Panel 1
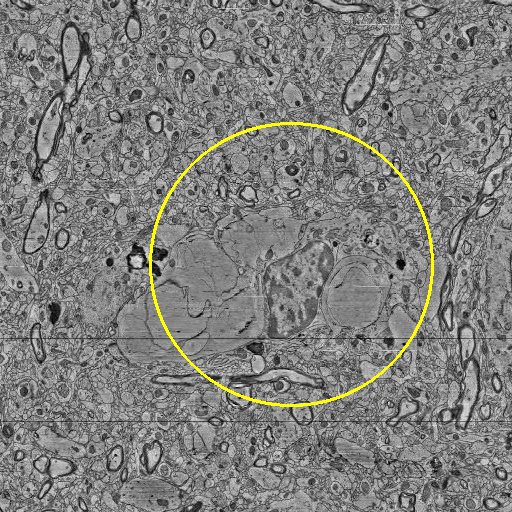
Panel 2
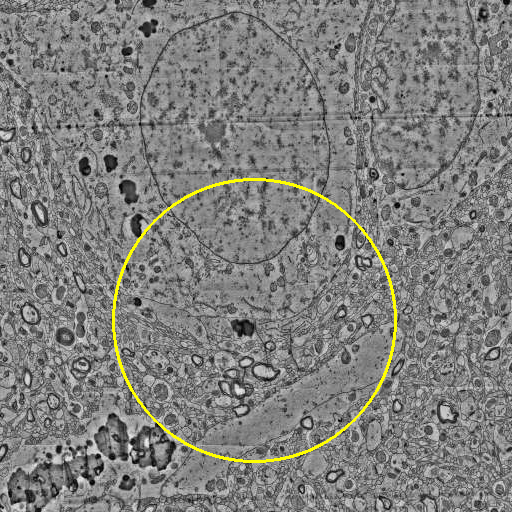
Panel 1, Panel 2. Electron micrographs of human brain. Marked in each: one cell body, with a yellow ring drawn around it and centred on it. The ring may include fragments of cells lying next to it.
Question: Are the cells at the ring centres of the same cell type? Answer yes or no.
yes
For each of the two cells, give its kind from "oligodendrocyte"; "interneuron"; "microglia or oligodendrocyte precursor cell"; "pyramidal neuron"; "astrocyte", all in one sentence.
Each of the two rings is centred on a microglial cell or oligodendrocyte precursor cell.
